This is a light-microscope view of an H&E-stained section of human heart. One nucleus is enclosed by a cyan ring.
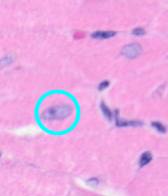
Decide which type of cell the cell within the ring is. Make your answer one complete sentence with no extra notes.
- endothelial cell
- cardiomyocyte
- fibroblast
By its classification, the cell within the ring is a cardiomyocyte.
